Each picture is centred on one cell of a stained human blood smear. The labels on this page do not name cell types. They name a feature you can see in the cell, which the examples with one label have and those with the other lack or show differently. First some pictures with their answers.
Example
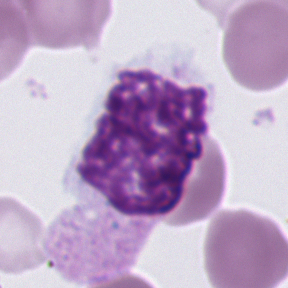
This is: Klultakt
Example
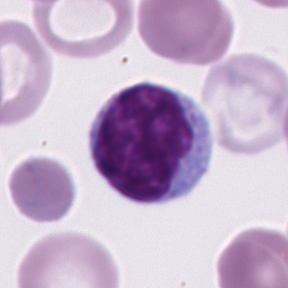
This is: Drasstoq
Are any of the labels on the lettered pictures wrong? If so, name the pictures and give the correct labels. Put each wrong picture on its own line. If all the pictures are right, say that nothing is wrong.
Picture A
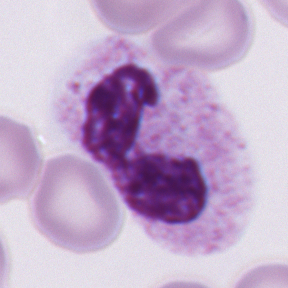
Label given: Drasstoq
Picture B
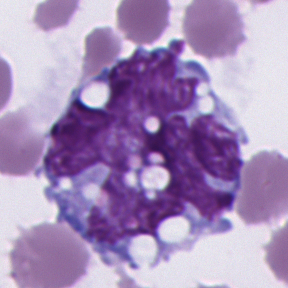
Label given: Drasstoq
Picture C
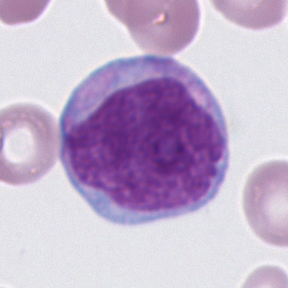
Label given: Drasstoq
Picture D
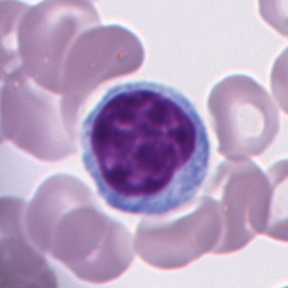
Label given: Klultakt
B: change Drasstoq to Klultakt
D: change Klultakt to Drasstoq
